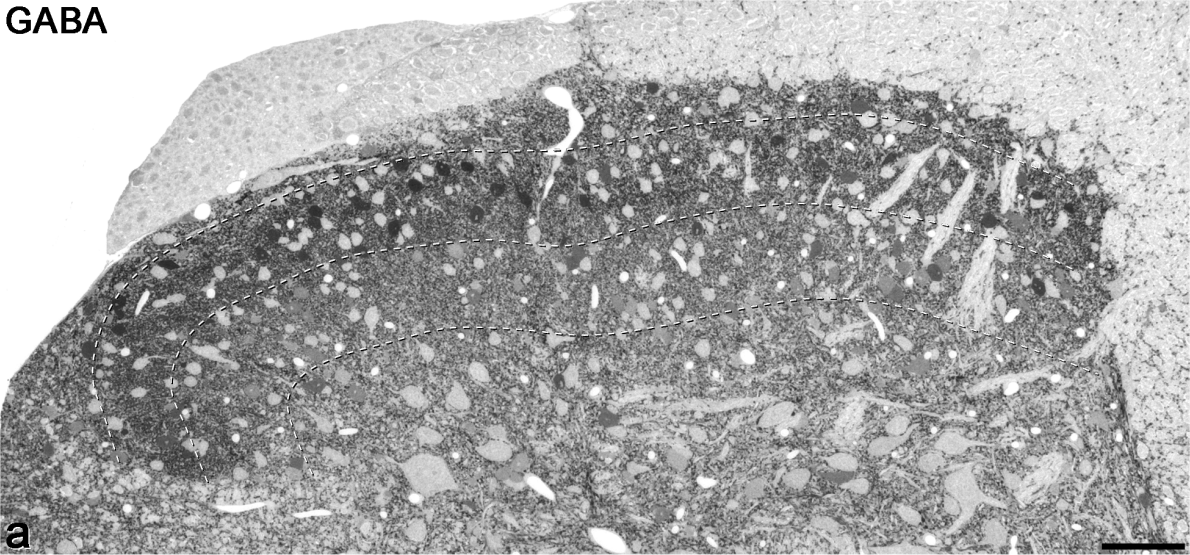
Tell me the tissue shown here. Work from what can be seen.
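A cap of grey matter with scattered cell bodies sits beneath pale white matter. Pale white matter with cross-cut axons borders the grey matter dorsally and laterally. Bundles of fibres run obliquely through the deeper grey matter. The answer: dorsal horn.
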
